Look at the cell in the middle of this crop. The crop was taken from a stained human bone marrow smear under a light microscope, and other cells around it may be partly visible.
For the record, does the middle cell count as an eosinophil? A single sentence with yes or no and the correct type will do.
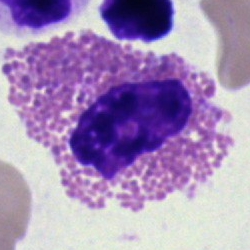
Yes, an eosinophil is what the central cell is.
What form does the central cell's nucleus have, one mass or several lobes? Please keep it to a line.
See how the nucleus sits as one compact round, oval or kidney-shaped mass.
